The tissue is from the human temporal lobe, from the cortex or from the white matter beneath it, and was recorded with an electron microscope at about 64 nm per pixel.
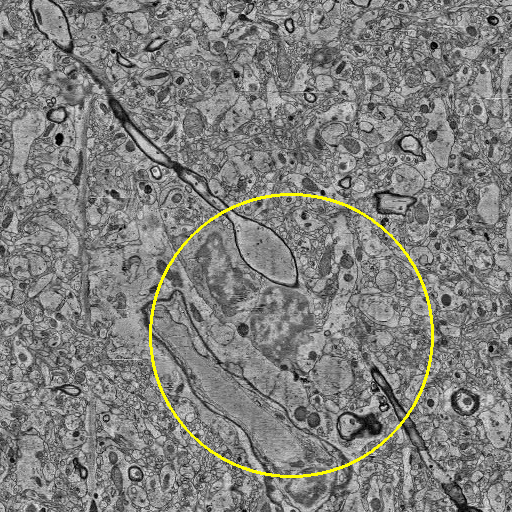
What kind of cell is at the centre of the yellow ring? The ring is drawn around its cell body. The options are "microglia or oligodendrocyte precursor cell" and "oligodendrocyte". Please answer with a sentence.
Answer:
The yellow ring marks the cell body of an oligodendrocyte.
